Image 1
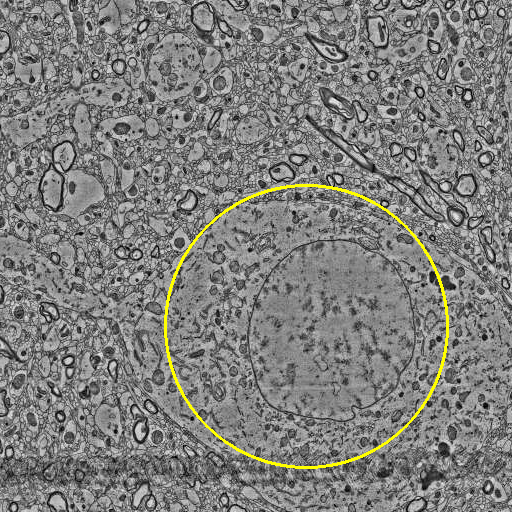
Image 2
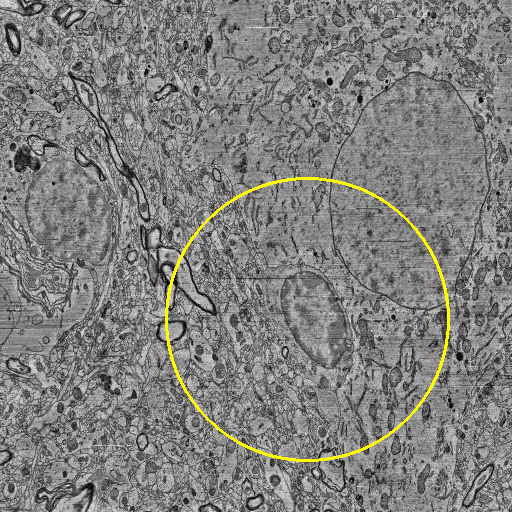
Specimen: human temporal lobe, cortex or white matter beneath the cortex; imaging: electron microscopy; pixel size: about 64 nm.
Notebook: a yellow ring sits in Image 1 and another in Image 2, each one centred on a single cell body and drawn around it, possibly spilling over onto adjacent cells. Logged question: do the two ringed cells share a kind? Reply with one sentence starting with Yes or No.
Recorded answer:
No, the centre cells inside the rings of Image 1 and Image 2 are of two kinds.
